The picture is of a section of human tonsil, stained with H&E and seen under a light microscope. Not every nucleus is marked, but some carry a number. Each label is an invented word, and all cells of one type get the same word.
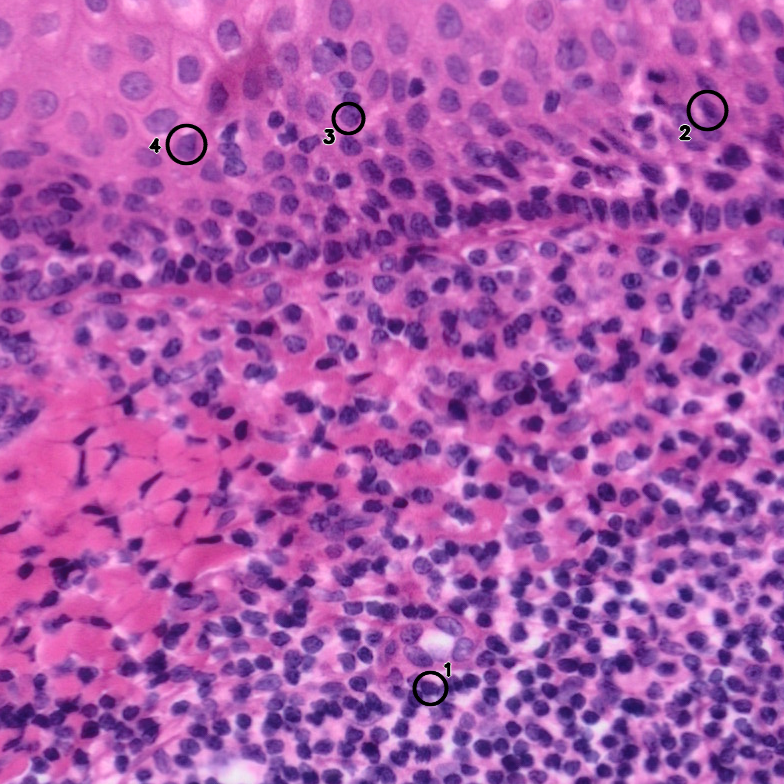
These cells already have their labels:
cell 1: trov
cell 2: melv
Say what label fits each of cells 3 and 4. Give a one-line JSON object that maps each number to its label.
{"3": "melv", "4": "melv"}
